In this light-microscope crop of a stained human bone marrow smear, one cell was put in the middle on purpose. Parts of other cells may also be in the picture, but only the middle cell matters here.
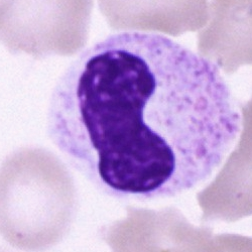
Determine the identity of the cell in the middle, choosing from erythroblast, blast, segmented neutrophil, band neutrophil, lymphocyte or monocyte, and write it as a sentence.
The central cell shown in this smear crop is a band neutrophil.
